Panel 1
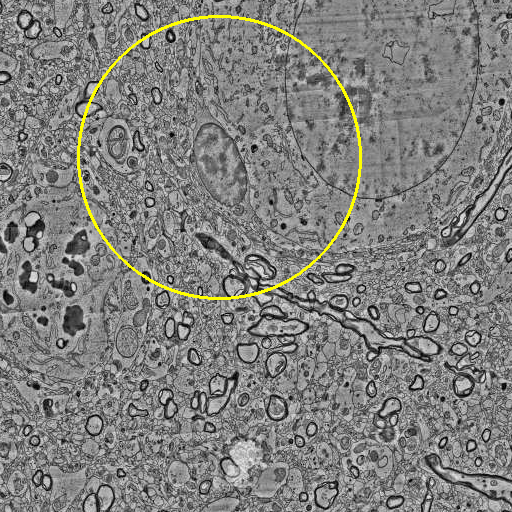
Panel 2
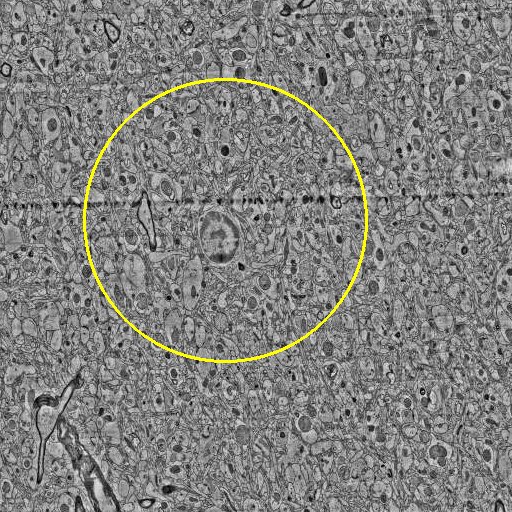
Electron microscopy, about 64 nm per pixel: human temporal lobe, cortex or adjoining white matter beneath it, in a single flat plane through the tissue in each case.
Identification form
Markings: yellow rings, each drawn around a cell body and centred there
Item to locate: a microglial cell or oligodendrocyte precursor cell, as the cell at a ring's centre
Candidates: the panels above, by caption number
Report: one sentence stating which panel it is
It is Panel 2.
